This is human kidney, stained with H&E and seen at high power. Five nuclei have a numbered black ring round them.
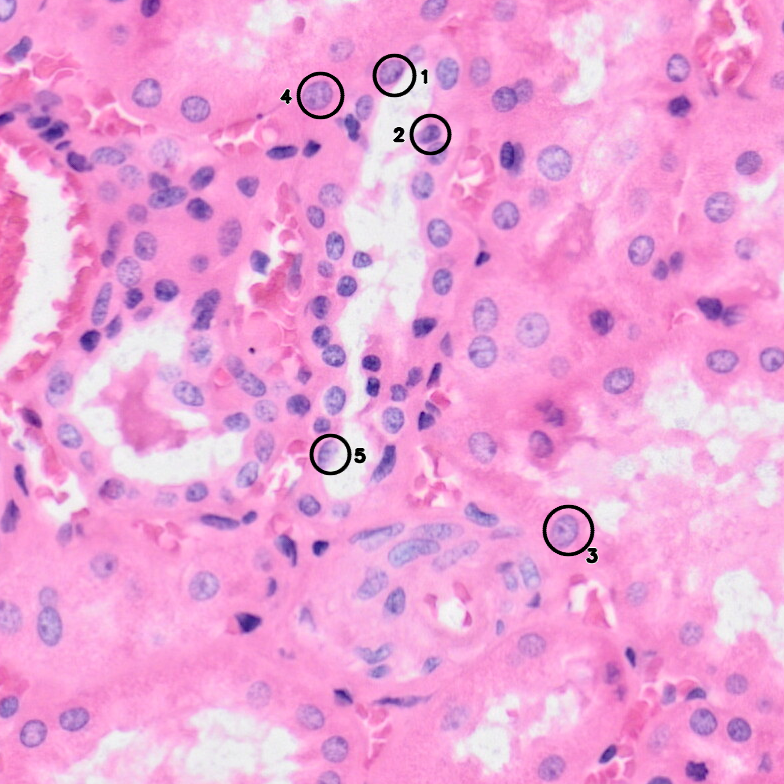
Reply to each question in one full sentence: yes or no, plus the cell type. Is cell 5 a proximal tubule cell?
No, the cell with number 5 is not a proximal tubule cell but a collecting duct cell.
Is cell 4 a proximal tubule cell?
Yes, number 4 corresponds to a proximal tubule cell.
